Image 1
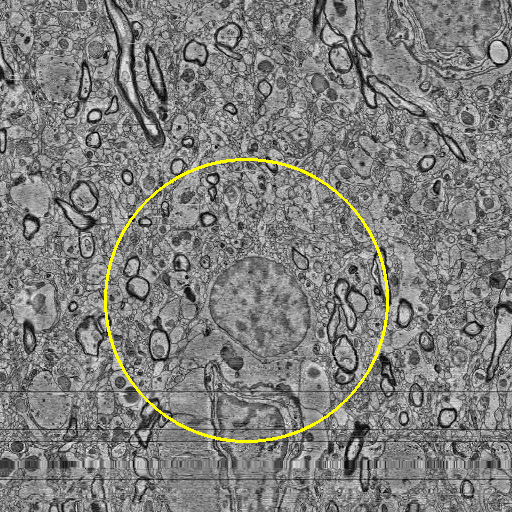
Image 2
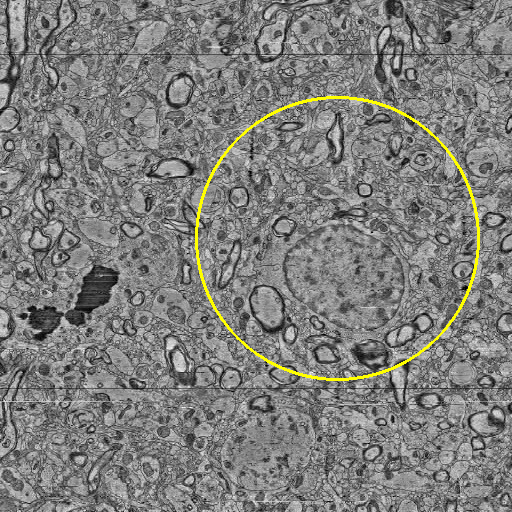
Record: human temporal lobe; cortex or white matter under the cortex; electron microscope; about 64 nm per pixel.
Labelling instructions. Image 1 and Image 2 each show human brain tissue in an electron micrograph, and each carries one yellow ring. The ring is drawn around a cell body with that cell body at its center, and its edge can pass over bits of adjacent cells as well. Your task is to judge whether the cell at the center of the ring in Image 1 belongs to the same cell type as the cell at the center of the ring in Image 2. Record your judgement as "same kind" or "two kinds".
same kind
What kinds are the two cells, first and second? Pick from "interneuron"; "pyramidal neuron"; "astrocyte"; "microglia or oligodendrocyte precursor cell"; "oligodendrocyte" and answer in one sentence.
In both pictures the ring is centred on an oligodendrocyte.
